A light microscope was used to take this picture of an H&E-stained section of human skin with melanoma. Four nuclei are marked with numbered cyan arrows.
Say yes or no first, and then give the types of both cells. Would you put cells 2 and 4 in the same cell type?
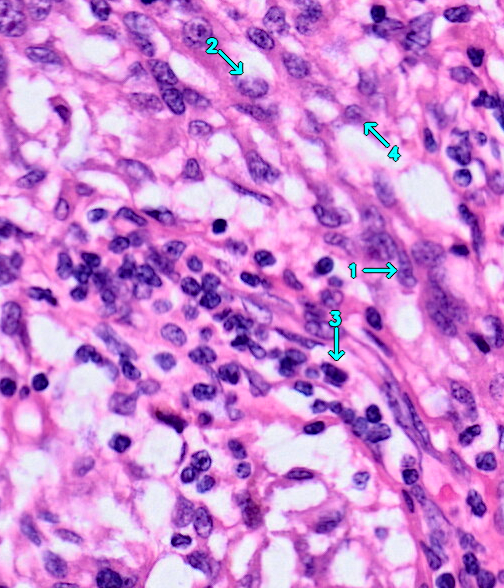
Yes, within the numbered set, cells 2 and 4 are both melanoma cells.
